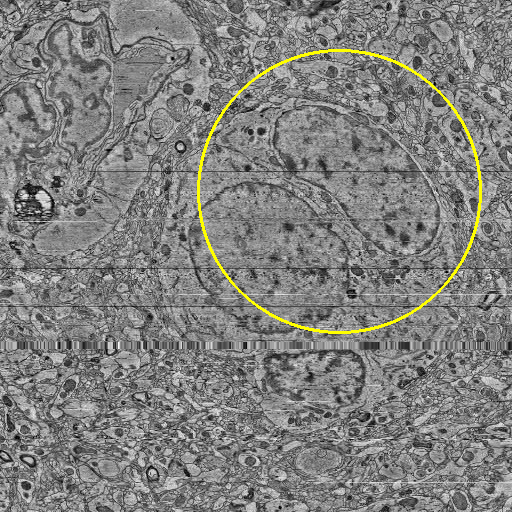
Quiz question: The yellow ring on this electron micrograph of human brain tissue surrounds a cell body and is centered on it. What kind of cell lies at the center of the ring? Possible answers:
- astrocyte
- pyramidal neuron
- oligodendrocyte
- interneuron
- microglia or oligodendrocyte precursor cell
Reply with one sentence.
The ring's center lies on a microglial cell or oligodendrocyte precursor cell.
